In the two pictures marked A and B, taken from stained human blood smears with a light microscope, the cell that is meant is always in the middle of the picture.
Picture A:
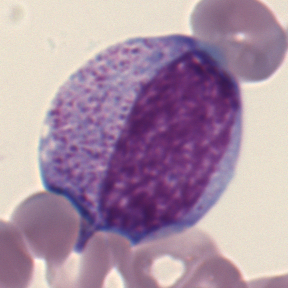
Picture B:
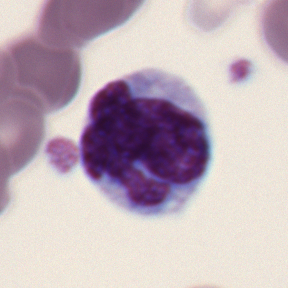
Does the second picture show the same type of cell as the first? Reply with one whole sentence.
No. Picture A shows a promyelocyte, but picture B shows a monocyte.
